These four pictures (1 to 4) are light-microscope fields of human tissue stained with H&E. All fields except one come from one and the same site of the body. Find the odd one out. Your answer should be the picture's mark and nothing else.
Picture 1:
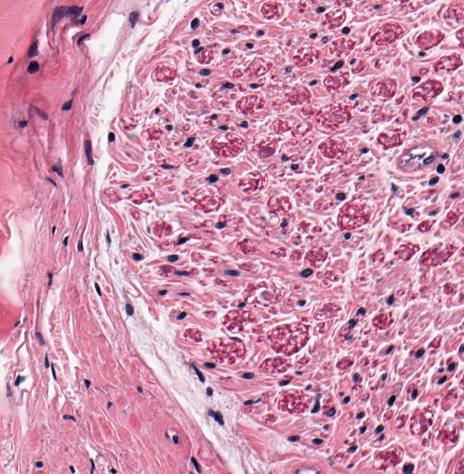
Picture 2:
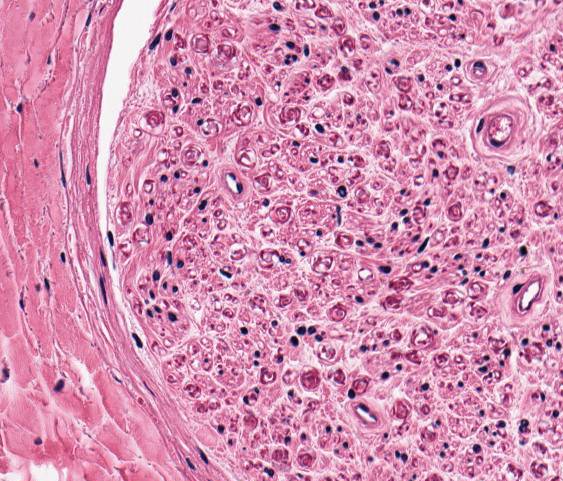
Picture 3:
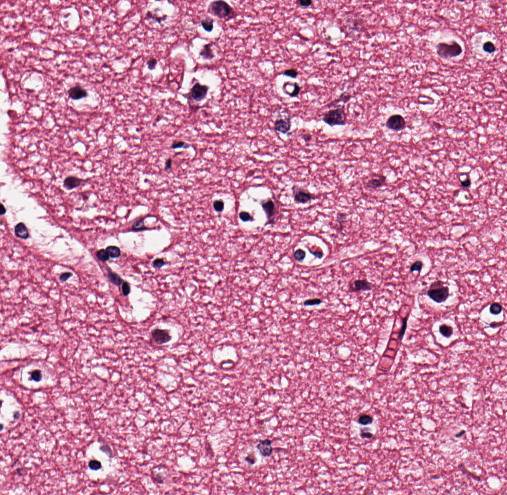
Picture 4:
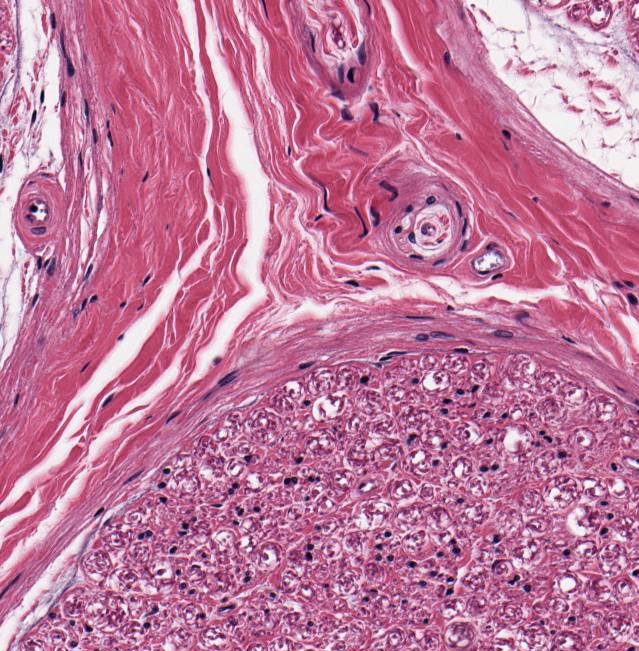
3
